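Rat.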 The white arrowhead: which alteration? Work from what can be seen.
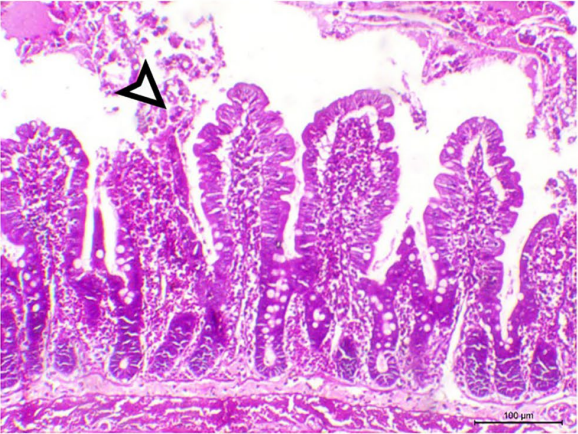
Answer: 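Loose cell fragments lie in the lumen above the villus tips.
Answer: desquamative changes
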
